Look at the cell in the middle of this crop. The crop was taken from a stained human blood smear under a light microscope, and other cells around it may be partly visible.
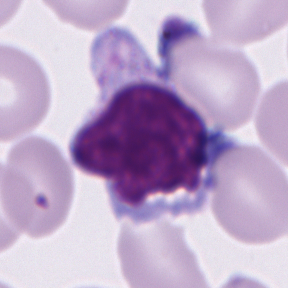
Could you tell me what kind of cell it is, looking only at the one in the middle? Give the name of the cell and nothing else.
large granular lymphocyte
